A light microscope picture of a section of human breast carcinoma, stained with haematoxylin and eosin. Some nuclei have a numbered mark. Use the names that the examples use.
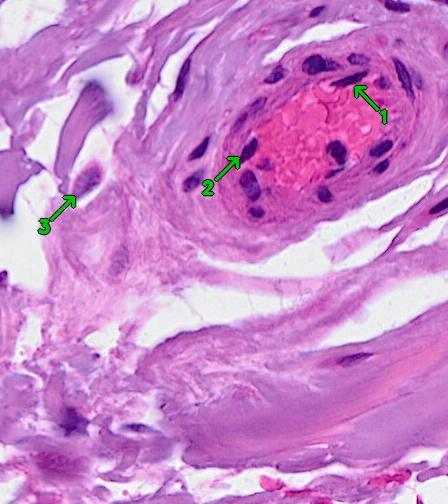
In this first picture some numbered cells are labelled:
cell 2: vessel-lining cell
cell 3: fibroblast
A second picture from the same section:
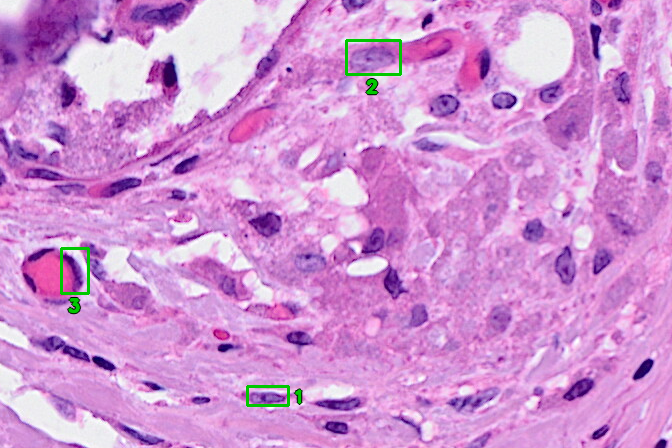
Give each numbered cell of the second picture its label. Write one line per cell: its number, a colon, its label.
1: fibroblast
2: vessel-lining cell
3: vessel-lining cell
